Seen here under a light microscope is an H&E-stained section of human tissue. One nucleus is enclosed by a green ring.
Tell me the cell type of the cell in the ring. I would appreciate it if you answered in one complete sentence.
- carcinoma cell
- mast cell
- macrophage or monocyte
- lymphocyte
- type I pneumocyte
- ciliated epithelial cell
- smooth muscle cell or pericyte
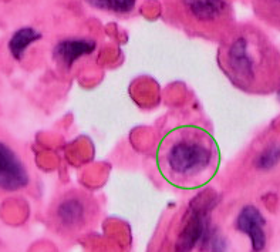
So far as cell type goes, the cell in the ring is a macrophage or monocyte.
